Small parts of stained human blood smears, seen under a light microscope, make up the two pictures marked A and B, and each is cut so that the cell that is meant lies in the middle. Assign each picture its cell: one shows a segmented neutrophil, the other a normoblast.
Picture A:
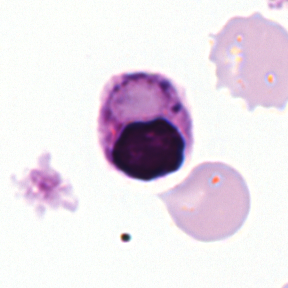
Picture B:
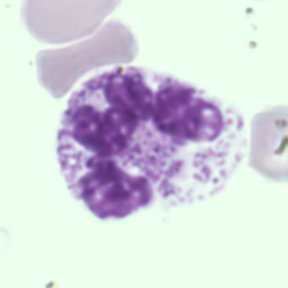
A: normoblast
B: segmented neutrophil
